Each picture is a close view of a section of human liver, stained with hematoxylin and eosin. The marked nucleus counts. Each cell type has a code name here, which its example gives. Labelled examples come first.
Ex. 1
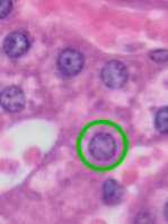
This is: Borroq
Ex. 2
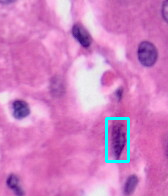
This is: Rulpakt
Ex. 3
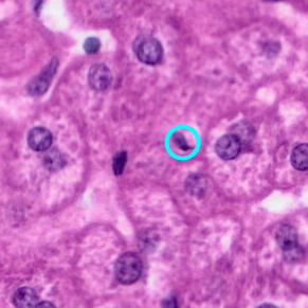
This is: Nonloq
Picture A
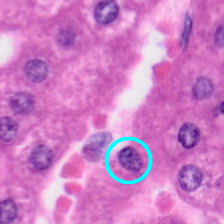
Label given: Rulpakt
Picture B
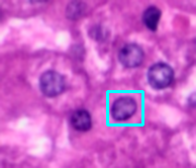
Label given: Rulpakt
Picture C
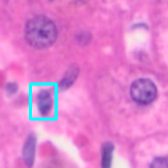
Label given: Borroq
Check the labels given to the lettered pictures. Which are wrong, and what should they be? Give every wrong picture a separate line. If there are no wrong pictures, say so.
B should be Borroq, not Rulpakt
C should be Rulpakt, not Borroq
